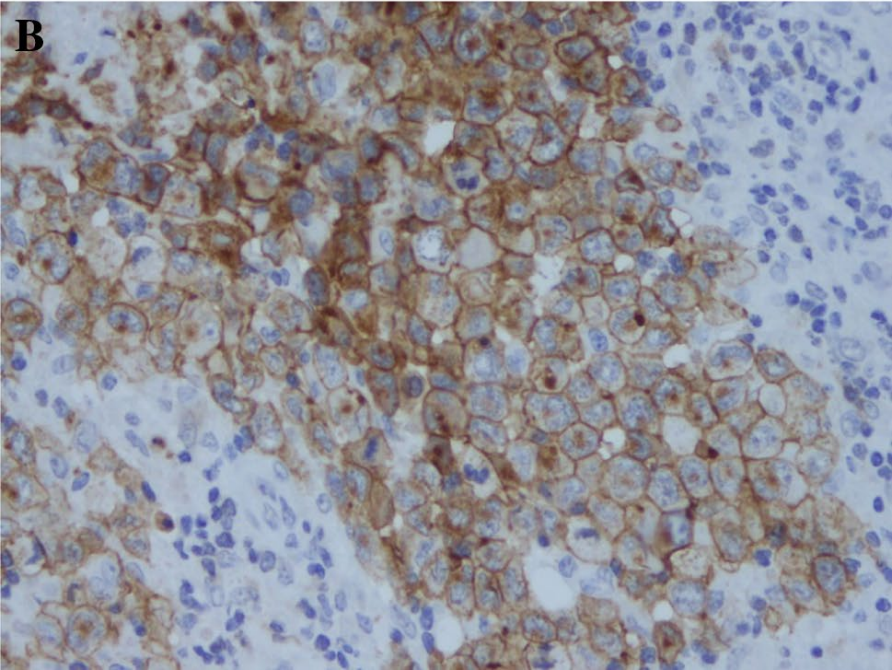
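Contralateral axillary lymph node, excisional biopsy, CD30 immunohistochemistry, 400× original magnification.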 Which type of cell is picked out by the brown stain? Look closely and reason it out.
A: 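Large cells with crisp brown outlines around their membranes. Many brown cells also show a brown dot in the cytoplasm next to the nucleus. Small cells with dark blue nuclei at the right and lower left are unstained. Stained cells have large pale nuclei with nucleoli. So: neoplastic cells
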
